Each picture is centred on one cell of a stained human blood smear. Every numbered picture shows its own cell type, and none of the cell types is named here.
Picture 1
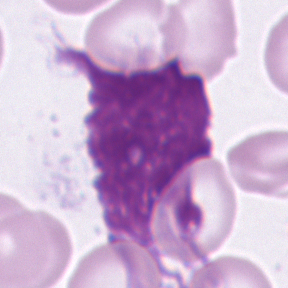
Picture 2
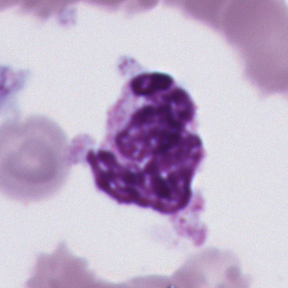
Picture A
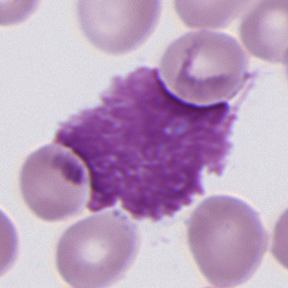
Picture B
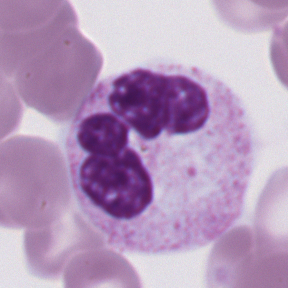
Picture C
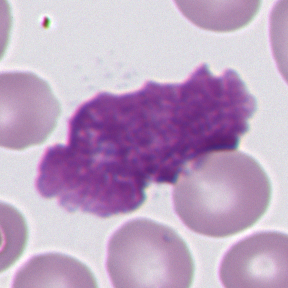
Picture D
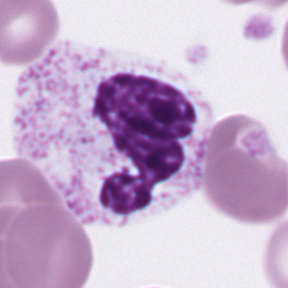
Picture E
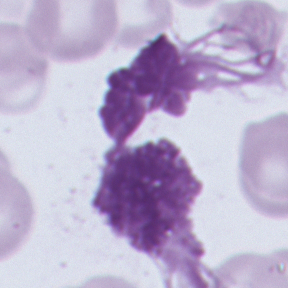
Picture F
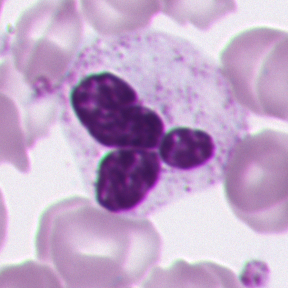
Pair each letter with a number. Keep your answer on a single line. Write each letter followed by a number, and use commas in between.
A 1, B 2, C 1, D 2, E 1, F 2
